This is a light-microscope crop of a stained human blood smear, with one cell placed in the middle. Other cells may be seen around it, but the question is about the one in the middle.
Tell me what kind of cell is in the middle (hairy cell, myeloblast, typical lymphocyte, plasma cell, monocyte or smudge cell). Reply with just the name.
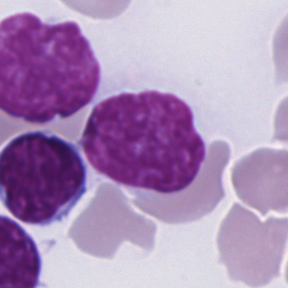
myeloblast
